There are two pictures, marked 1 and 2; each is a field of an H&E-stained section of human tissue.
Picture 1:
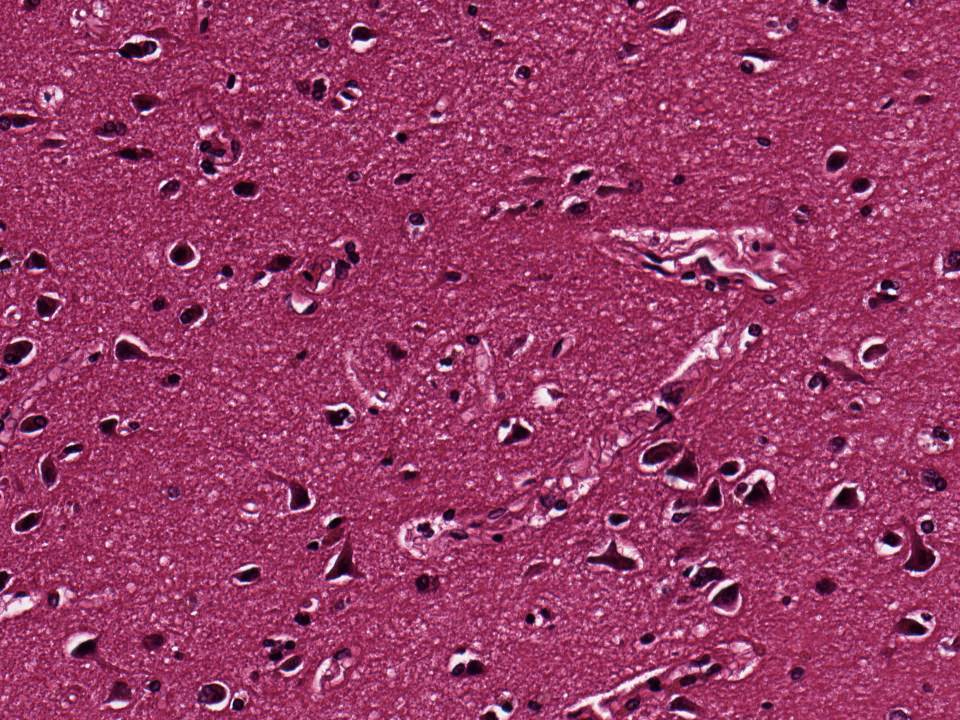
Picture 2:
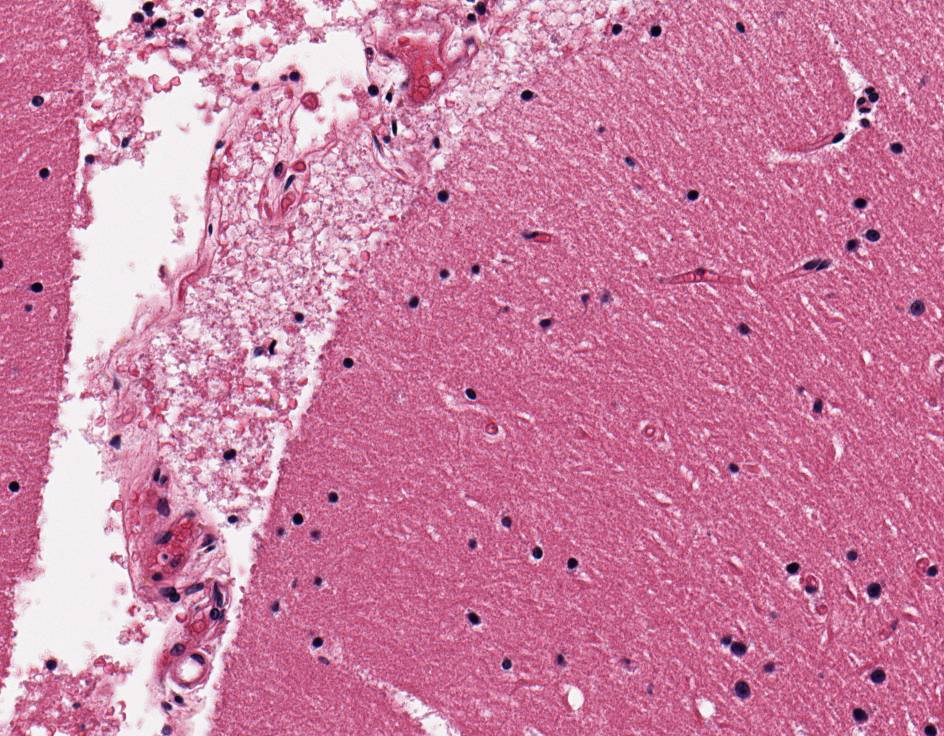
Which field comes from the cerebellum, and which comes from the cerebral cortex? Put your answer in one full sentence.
It is picture 1 that comes from the cerebral cortex, and picture 2 that comes from the cerebellum.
